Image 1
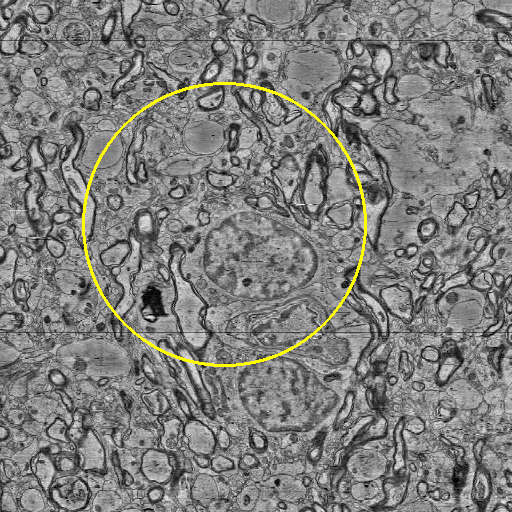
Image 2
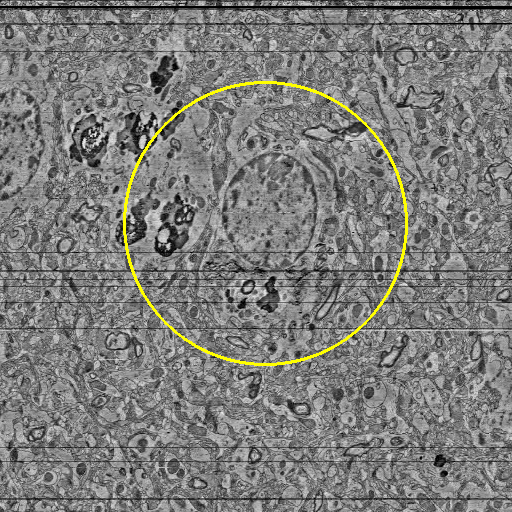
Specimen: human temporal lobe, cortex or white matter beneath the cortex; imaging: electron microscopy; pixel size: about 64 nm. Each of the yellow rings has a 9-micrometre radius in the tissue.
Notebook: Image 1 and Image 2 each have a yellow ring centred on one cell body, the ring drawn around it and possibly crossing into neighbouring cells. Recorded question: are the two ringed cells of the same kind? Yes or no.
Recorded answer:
no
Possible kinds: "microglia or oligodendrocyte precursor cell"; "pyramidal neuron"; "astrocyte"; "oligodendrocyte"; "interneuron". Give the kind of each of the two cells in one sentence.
The cell in the second picture is an astrocyte, and that in the first is an oligodendrocyte.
